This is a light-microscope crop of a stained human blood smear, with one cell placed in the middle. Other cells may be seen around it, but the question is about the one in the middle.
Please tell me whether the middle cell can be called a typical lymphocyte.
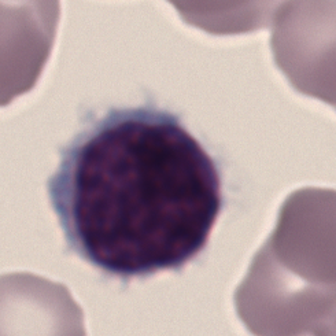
no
